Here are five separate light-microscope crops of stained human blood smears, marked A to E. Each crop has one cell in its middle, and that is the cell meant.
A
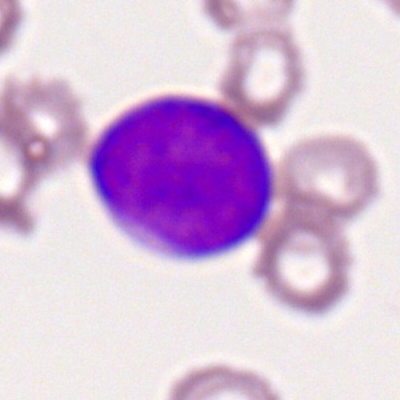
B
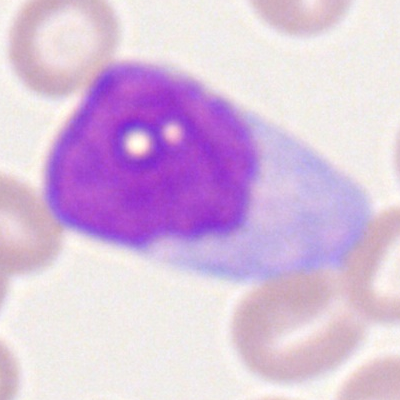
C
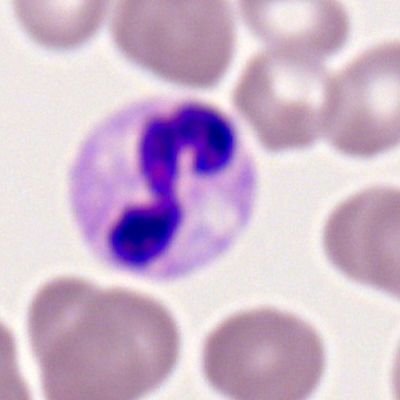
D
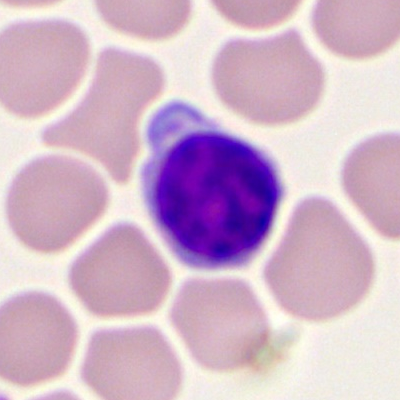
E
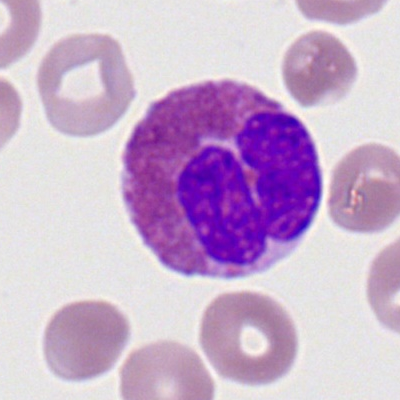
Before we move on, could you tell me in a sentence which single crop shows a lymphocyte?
The crop carrying a lymphocyte at the center is crop D.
